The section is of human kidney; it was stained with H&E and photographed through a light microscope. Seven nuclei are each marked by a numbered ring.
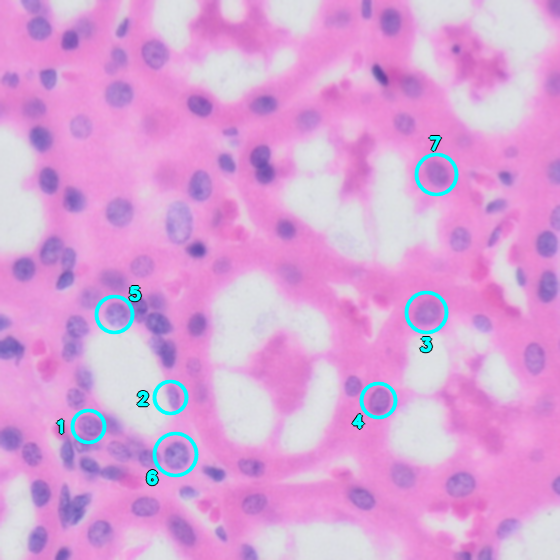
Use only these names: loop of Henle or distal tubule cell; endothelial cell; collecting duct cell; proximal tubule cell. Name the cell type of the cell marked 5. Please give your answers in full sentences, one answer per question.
Looking at the numbered marks, cell 5 is a collecting duct cell.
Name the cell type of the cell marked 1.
The cell indicated with the number 1 is classed as a collecting duct cell.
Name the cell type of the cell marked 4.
The one labeled 4 is a proximal tubule cell, to put it simply.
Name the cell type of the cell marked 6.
Identified by the number 6, the cell is a collecting duct cell.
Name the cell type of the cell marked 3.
The identity of cell 3 is that of a proximal tubule cell.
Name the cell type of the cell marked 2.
The cell identified by number 2 is a collecting duct cell.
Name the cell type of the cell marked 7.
In the tissue shown, cell 7 is a proximal tubule cell.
